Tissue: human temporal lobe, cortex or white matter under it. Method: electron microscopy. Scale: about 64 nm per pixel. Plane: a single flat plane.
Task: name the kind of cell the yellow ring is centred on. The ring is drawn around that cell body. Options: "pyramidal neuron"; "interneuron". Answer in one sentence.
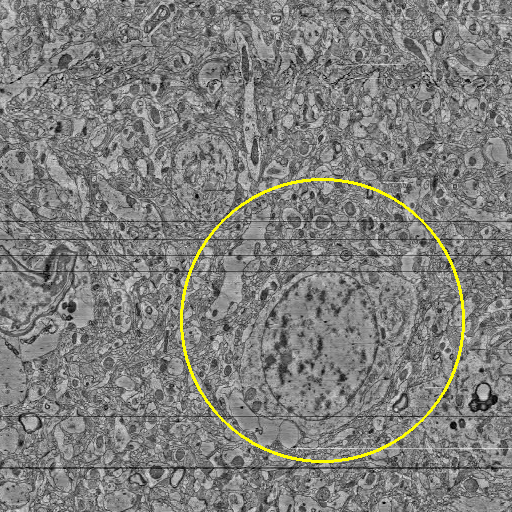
This cell body belongs to a pyramidal neuron.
